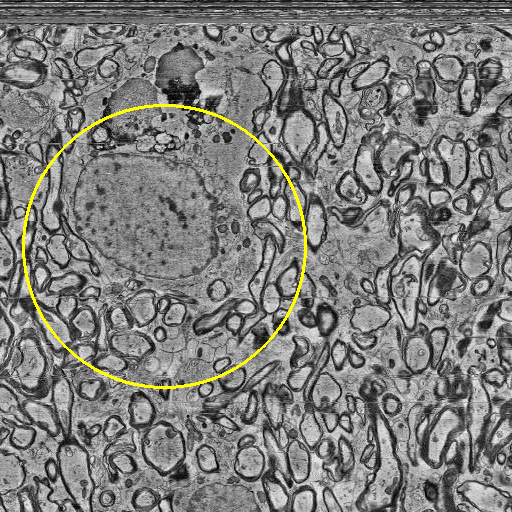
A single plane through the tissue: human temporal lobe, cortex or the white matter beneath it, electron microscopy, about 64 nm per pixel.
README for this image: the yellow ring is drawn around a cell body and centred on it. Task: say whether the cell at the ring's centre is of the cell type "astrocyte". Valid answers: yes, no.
yes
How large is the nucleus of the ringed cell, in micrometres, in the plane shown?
Approximately 10 x 8 micrometres in this plane.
